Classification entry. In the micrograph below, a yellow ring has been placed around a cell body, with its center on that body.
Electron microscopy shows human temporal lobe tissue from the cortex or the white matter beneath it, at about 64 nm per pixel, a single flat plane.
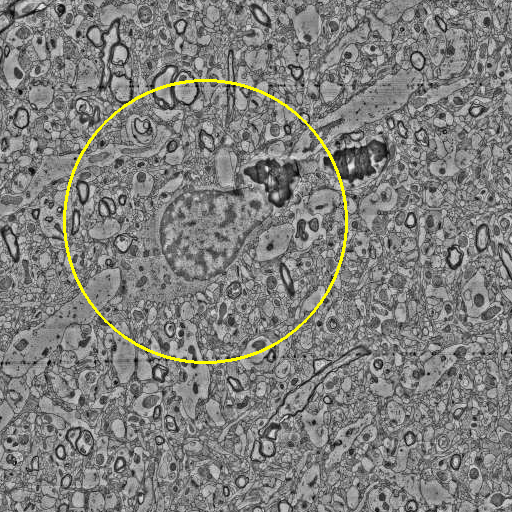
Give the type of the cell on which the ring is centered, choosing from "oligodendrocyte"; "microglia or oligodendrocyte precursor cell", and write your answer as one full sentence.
The cell body at the center of the yellow ring belongs to an oligodendrocyte.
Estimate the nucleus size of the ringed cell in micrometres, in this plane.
In this plane the nucleus spans approximately 7 by 6 micrometers.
